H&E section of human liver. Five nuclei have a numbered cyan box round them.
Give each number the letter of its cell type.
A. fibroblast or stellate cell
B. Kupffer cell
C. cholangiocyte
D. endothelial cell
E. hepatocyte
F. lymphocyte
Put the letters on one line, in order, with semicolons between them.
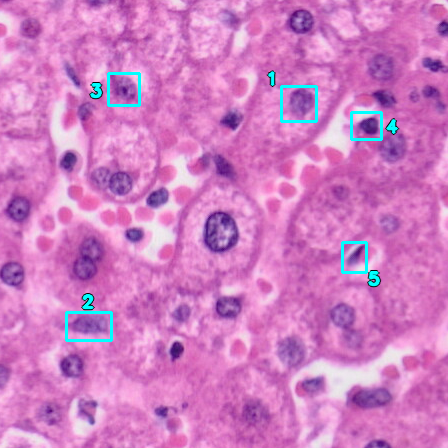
E; B; E; F; D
